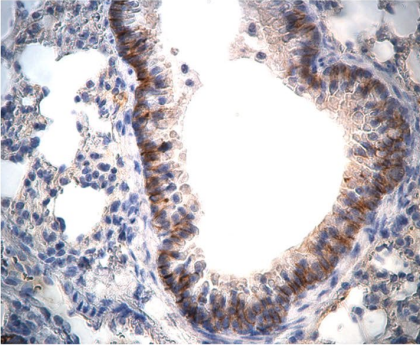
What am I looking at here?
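Brown stain lies between neighbouring epithelial cells and toward their base, while the cell tops facing the lumen are pale. The surrounding alveolar walls show blue nuclei with little or no brown.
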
